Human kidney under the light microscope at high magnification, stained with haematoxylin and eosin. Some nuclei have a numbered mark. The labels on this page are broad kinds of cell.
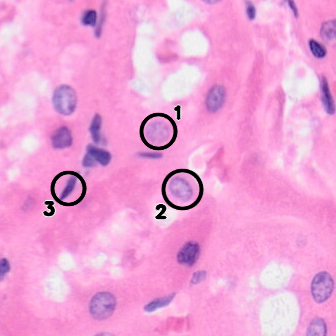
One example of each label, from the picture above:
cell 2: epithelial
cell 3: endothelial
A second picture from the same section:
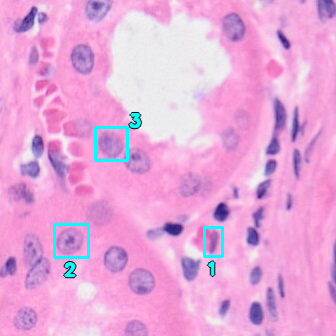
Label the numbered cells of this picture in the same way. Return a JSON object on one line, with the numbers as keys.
{"1": "endothelial", "2": "epithelial", "3": "epithelial"}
